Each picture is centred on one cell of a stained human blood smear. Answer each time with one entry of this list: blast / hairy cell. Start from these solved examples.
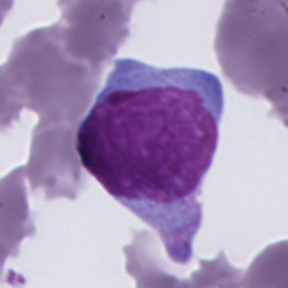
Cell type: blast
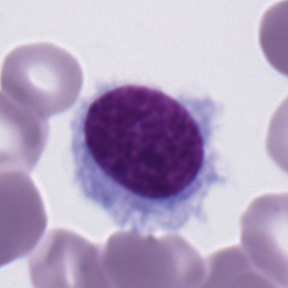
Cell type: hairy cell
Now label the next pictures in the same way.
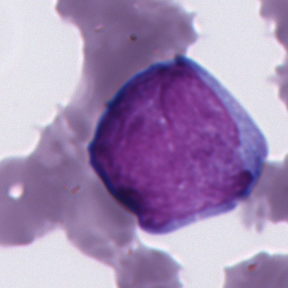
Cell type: blast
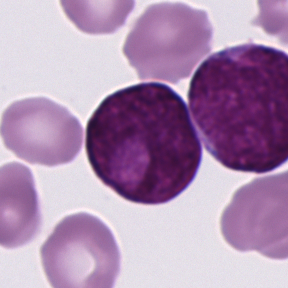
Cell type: blast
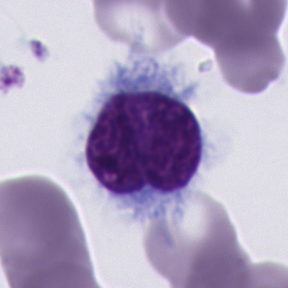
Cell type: hairy cell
